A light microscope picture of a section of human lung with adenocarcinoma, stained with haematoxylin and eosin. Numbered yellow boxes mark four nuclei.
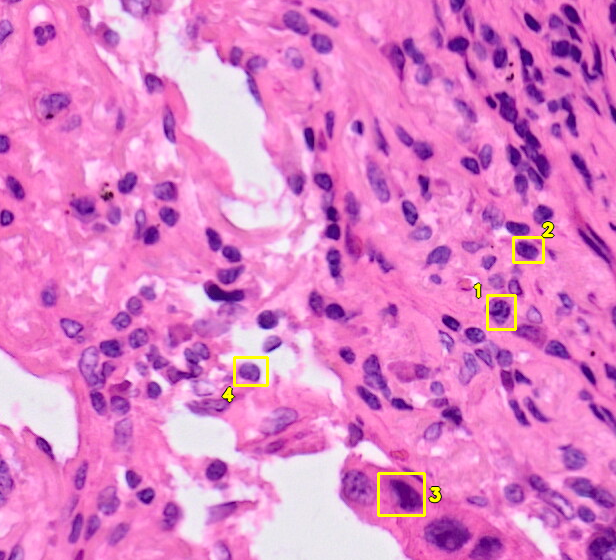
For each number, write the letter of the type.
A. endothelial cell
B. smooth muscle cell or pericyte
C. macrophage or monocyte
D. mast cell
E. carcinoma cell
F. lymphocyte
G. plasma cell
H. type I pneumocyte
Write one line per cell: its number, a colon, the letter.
1: G
2: F
3: E
4: F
